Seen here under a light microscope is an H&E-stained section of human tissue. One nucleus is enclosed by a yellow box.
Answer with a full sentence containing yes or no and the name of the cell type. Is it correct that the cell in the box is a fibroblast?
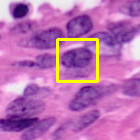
No; the cell in the box should be labelled a carcinoma cell rather than a fibroblast.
